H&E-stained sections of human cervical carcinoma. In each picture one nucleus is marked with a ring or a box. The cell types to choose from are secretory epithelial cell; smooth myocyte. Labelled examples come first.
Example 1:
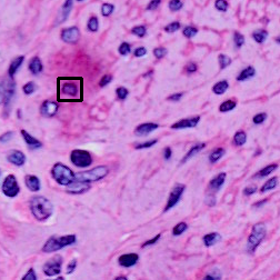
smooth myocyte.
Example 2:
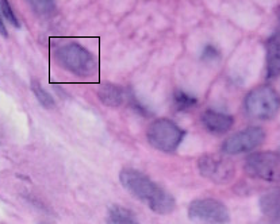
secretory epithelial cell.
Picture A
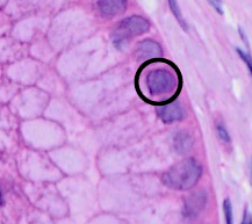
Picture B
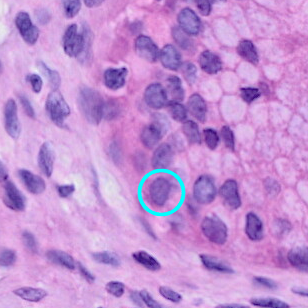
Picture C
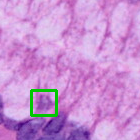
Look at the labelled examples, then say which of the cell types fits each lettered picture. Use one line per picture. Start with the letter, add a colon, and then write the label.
A: secretory epithelial cell.
B: secretory epithelial cell.
C: secretory epithelial cell.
